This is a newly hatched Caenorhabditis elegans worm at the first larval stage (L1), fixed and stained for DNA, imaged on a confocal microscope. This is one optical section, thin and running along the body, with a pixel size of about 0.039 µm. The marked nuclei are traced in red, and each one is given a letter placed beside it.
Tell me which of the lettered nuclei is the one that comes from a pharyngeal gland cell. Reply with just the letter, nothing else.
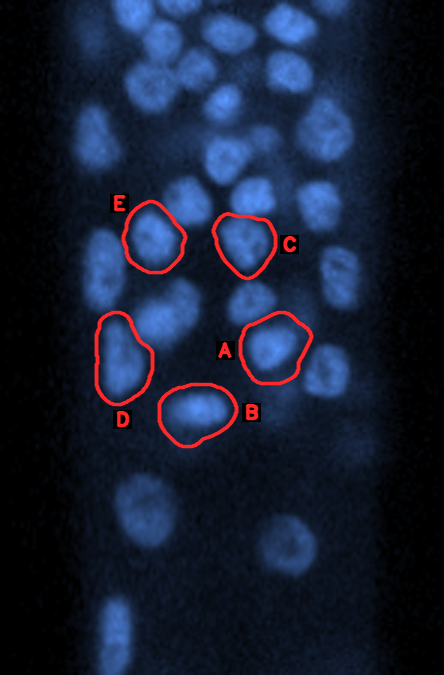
A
